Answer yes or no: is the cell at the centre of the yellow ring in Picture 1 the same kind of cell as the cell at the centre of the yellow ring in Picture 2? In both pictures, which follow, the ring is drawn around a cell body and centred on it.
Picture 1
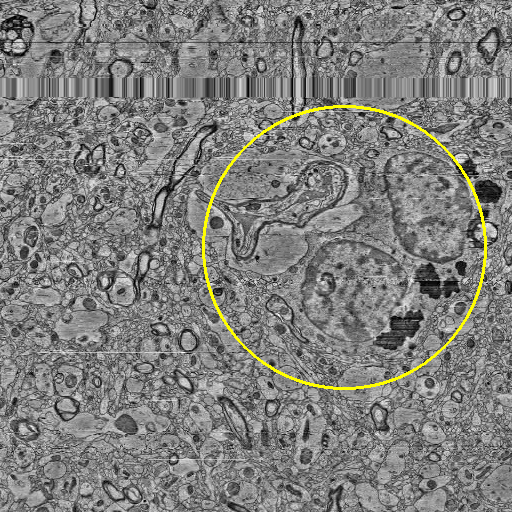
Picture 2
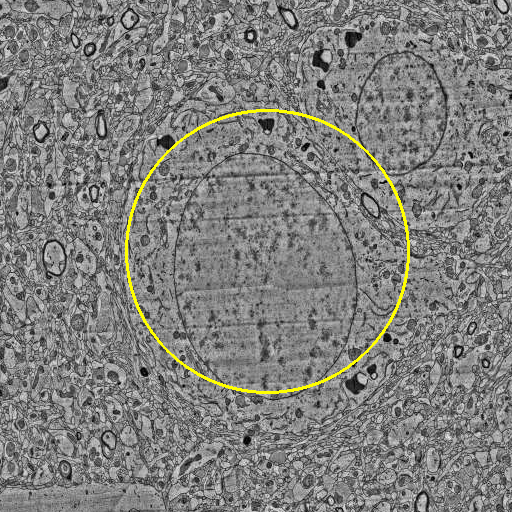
no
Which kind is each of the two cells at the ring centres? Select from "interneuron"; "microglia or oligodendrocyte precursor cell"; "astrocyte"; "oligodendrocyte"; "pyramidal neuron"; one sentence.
The cell at the centre of the ring is an oligodendrocyte in the first picture and a pyramidal neuron in the second.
